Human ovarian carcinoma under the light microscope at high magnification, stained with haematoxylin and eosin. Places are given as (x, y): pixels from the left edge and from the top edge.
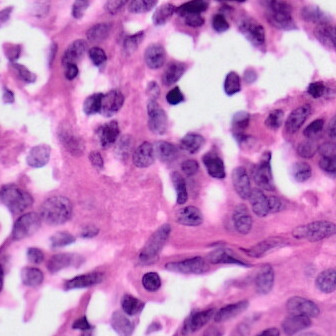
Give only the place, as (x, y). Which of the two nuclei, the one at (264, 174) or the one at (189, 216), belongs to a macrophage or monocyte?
(189, 216)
